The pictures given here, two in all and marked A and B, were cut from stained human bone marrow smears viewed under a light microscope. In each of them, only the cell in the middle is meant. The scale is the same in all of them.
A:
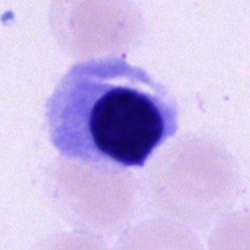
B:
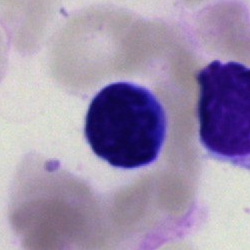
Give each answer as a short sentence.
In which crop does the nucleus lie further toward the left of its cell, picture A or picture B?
In picture B the nucleus is shifted more toward the left.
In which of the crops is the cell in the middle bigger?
Picture A holds the larger cell; it covers about 1.5 times the area of the cell in picture B.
